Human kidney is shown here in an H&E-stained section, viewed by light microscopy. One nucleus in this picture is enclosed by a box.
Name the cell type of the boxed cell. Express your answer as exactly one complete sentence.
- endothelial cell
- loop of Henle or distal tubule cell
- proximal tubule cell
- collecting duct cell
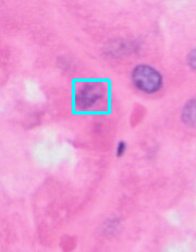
In the context of this tissue, the boxed cell is a proximal tubule cell.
